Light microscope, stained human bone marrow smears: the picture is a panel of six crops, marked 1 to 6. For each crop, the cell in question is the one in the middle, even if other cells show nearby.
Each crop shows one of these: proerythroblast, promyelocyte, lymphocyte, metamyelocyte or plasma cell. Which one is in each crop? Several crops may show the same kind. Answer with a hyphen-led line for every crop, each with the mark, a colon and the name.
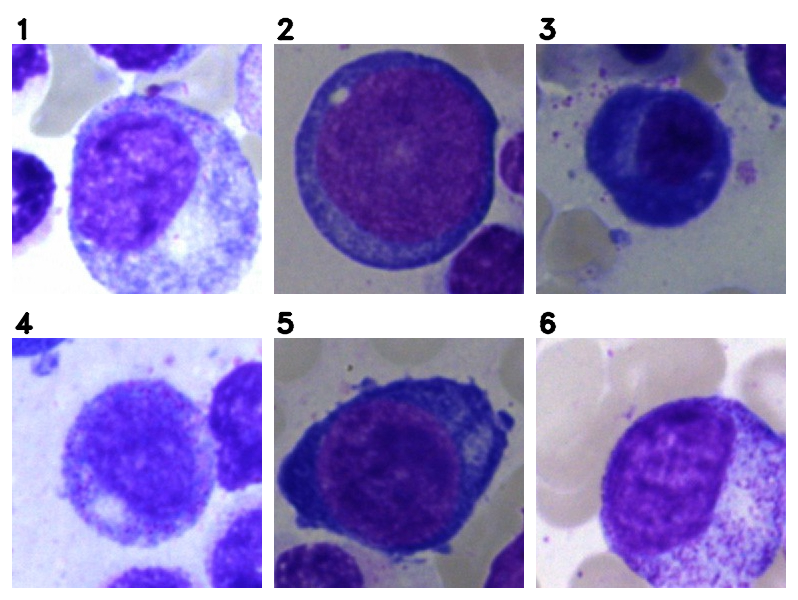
- 1: promyelocyte
- 2: proerythroblast
- 3: plasma cell
- 4: promyelocyte
- 5: proerythroblast
- 6: promyelocyte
